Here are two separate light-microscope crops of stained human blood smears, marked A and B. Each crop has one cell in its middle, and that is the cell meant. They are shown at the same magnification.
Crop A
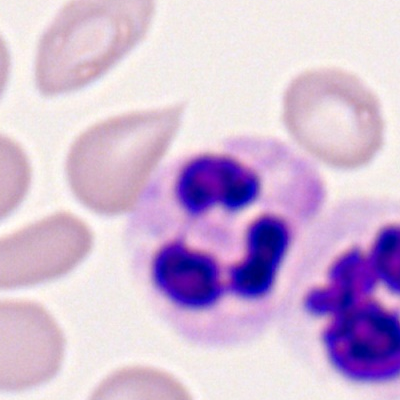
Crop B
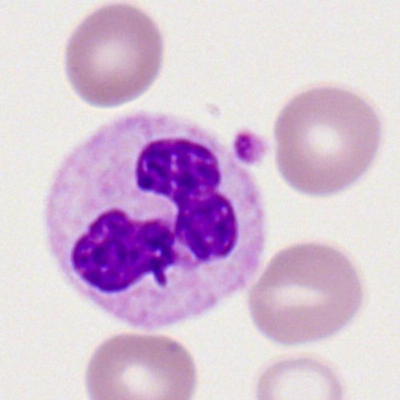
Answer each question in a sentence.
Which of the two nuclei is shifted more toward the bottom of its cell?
The nucleus in crop B lies further toward the bottom of its cell.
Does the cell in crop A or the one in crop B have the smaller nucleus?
Crop A shows the smaller nucleus, since that in crop B covers about 4 times as much area.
